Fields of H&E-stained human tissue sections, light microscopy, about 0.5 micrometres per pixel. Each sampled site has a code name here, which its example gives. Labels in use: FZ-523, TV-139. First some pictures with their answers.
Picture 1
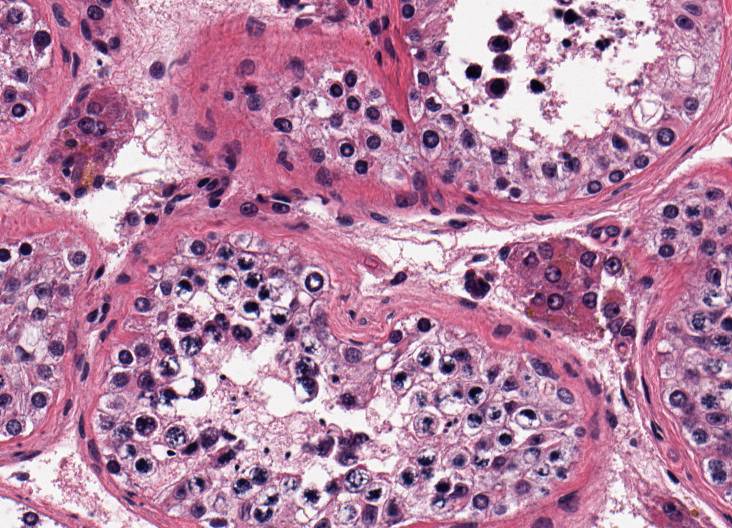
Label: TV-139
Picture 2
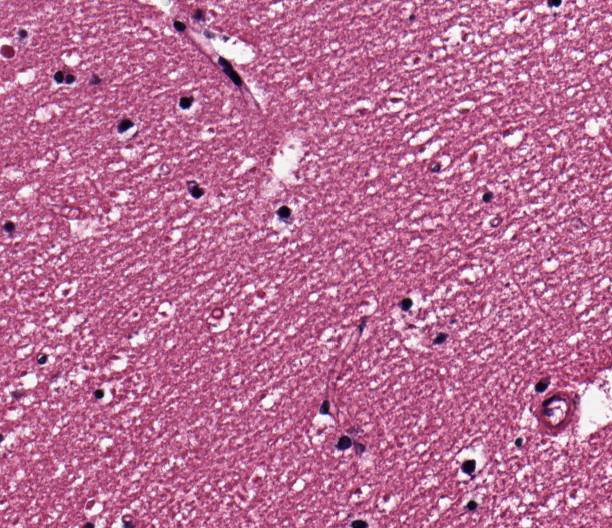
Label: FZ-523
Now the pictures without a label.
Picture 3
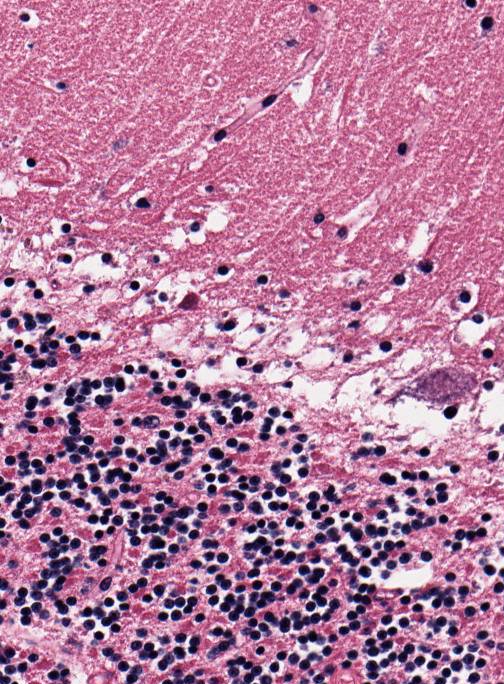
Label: FZ-523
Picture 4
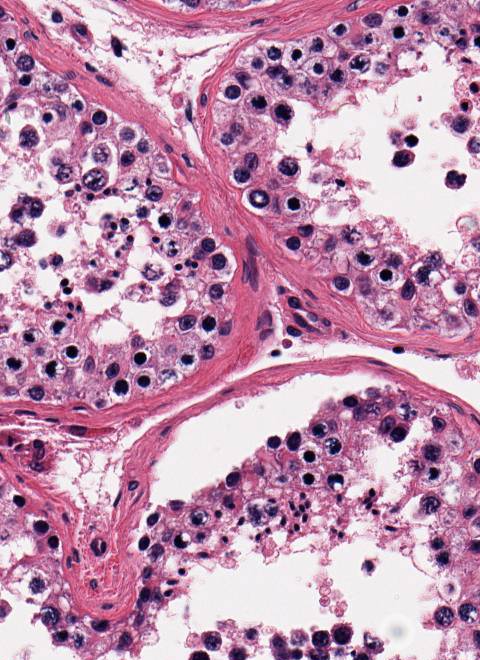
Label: TV-139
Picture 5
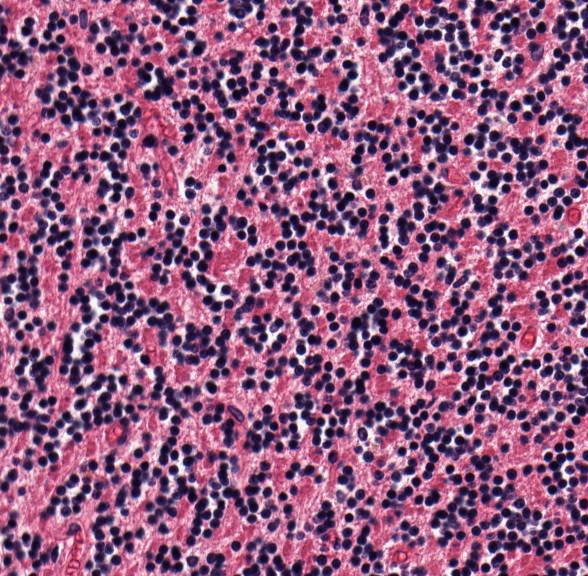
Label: FZ-523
